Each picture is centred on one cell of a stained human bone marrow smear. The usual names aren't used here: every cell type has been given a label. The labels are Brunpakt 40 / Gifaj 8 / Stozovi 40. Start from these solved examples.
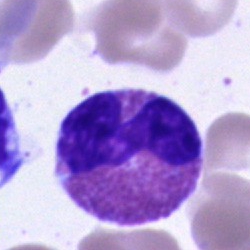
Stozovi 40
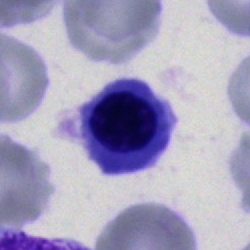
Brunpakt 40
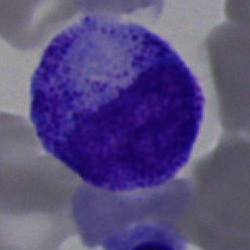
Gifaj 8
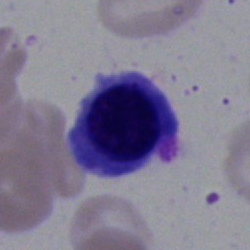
Brunpakt 40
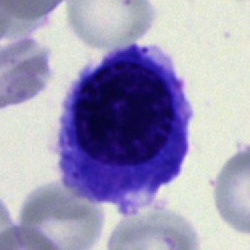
Brunpakt 40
